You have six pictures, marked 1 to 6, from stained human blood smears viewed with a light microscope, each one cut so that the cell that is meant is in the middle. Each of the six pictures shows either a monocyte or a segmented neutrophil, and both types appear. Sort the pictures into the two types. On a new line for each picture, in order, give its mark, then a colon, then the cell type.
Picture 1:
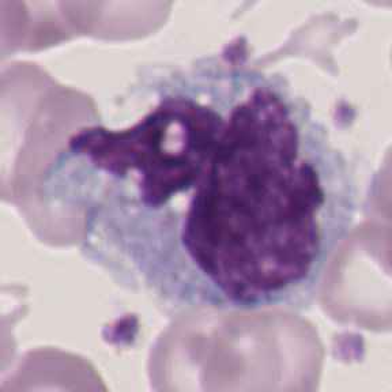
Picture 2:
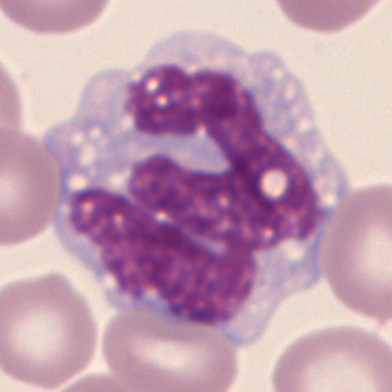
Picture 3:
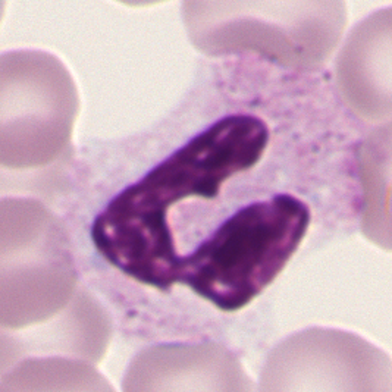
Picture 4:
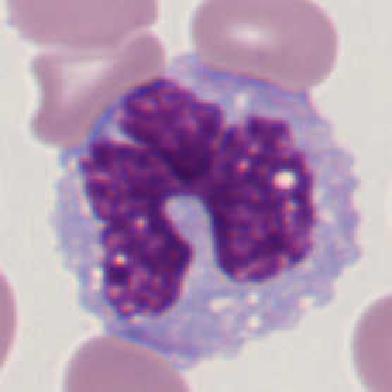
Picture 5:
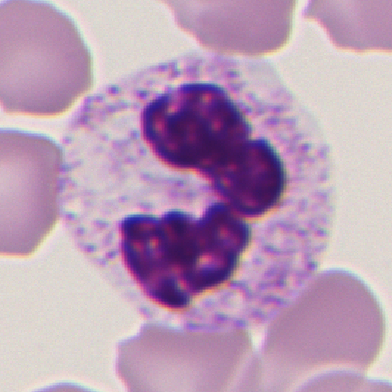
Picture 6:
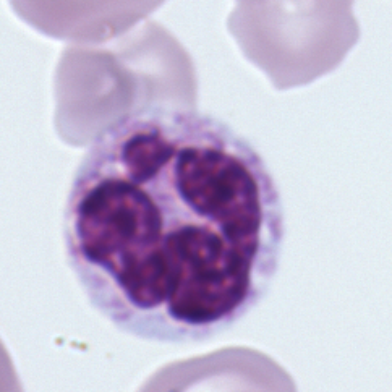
1: monocyte
2: monocyte
3: segmented neutrophil
4: monocyte
5: segmented neutrophil
6: segmented neutrophil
